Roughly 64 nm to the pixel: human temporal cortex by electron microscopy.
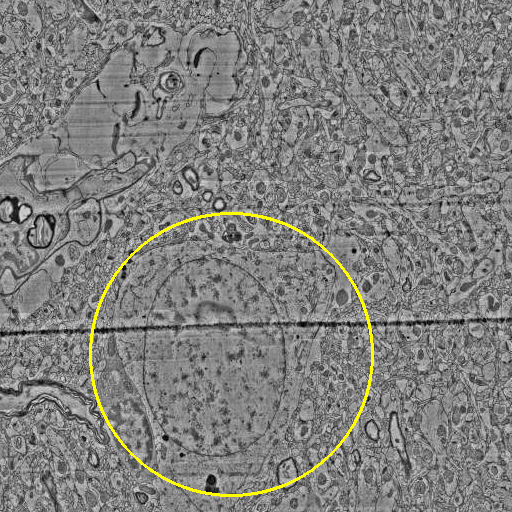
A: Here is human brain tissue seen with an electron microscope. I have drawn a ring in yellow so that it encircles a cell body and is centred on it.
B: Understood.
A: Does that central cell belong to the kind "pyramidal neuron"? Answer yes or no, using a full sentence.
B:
Yes, the central cell inside your yellow ring belongs to that kind.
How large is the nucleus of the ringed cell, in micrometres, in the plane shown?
In this plane, roughly 13 by 9 micrometres.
